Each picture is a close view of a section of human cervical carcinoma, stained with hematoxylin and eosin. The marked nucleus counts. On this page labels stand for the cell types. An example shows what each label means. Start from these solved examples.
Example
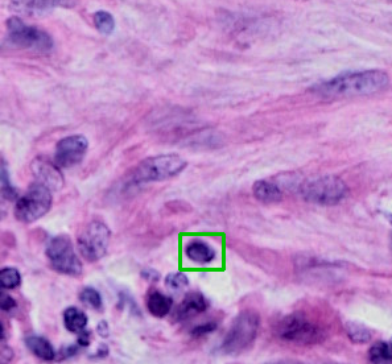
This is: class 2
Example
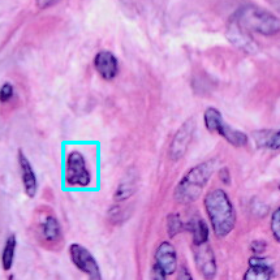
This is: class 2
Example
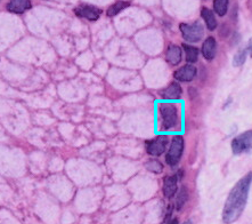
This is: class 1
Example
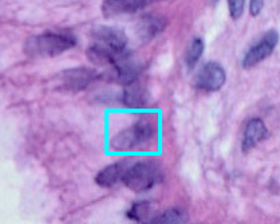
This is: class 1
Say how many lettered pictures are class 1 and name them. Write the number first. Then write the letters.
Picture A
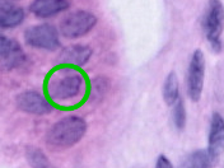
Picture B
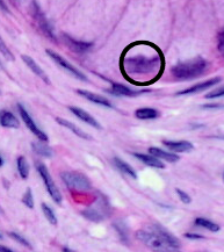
Count: 2 (A, B)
